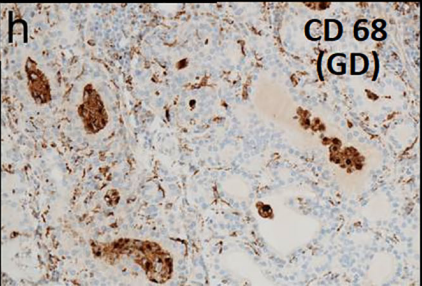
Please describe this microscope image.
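Thyroid tissue with histiocytes in the stroma and inside the follicles. Large brown-stained cells with ample cytoplasm cluster within the lumens of several follicles. Smaller brown-stained cells with thin processes are scattered in the stroma between follicles. The follicles are lined by epithelial cells with blue nuclei that remain unstained. Some follicles contain pale colloid.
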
